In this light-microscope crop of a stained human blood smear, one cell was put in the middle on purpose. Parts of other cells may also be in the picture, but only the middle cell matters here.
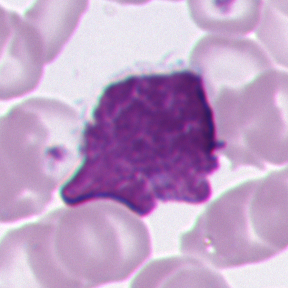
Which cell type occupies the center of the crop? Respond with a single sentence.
By classification, the middle cell of this crop is a smudge cell.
